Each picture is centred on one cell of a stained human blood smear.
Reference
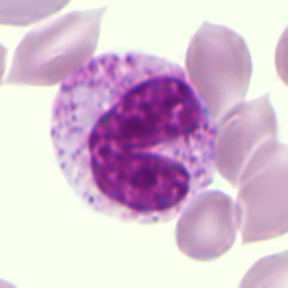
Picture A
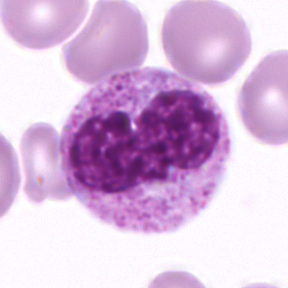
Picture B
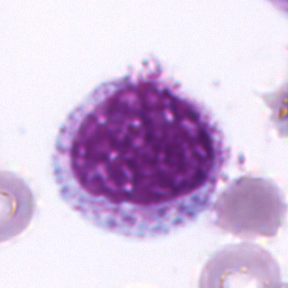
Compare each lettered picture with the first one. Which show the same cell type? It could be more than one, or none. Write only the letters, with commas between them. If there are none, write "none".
A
